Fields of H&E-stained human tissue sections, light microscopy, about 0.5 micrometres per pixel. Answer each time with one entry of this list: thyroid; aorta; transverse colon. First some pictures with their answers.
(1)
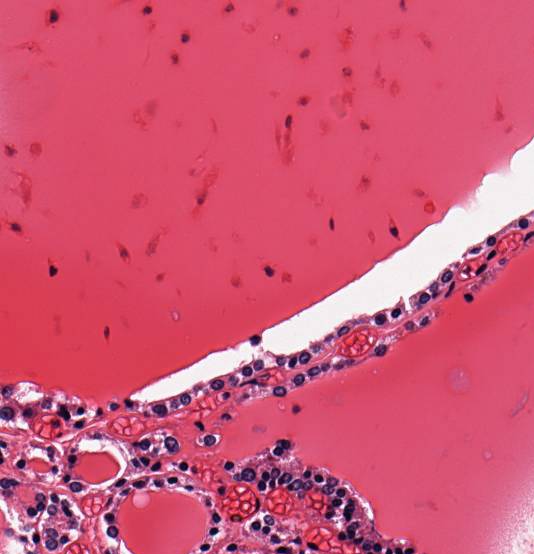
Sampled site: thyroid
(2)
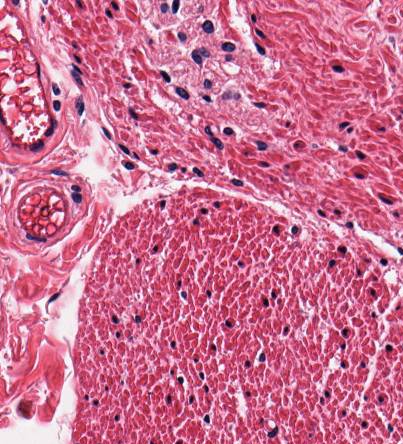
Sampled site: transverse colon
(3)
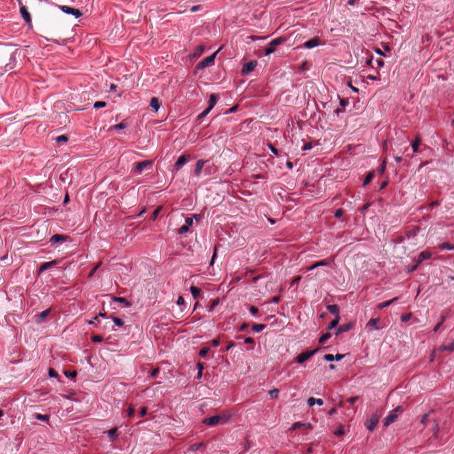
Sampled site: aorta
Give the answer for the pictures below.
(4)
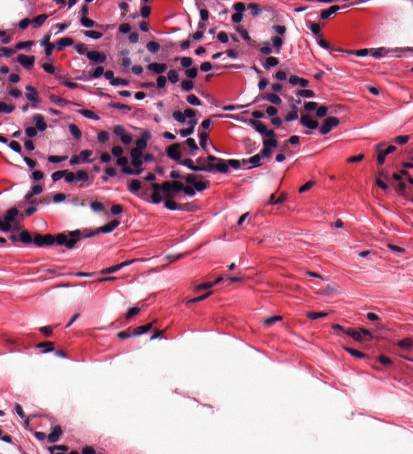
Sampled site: thyroid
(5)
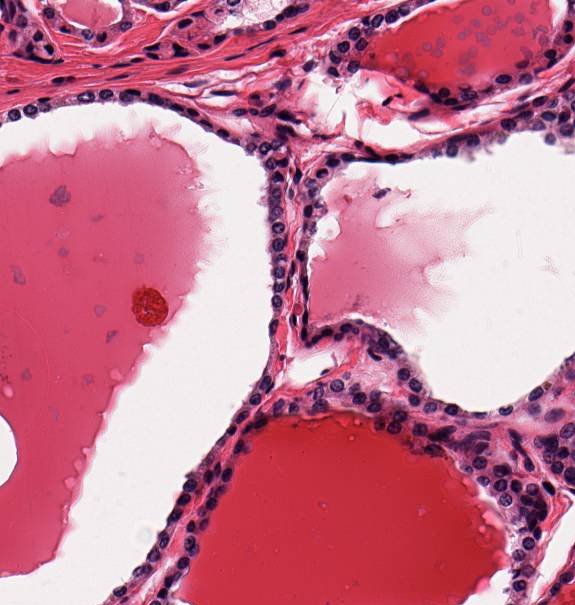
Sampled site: thyroid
